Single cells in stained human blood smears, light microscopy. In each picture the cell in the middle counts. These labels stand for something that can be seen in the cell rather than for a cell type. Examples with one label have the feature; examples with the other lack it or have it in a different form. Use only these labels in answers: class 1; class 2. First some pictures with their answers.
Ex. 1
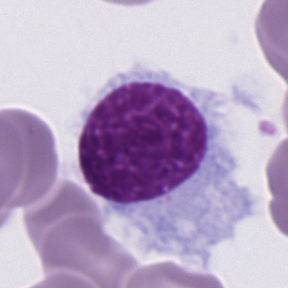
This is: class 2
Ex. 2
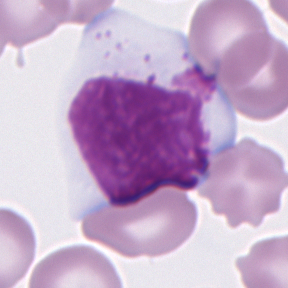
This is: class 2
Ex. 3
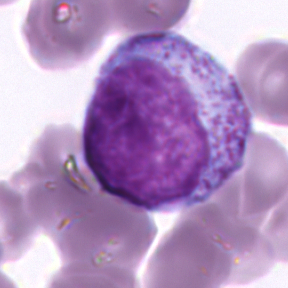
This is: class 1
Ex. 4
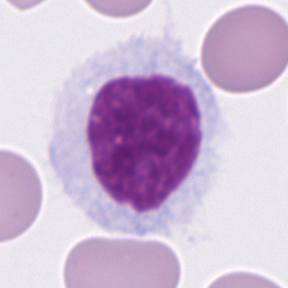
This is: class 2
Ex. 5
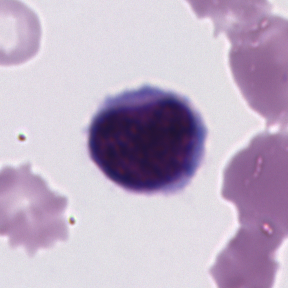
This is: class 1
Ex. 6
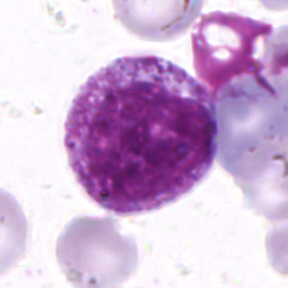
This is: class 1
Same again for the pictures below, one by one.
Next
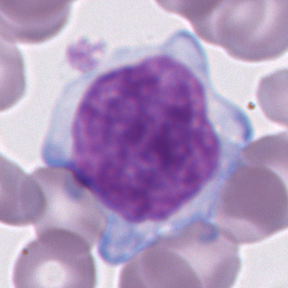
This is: class 2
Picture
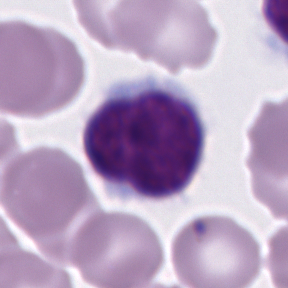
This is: class 1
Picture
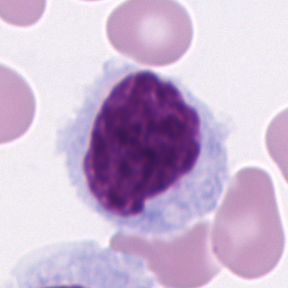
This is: class 2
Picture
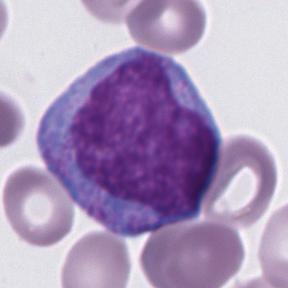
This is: class 1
